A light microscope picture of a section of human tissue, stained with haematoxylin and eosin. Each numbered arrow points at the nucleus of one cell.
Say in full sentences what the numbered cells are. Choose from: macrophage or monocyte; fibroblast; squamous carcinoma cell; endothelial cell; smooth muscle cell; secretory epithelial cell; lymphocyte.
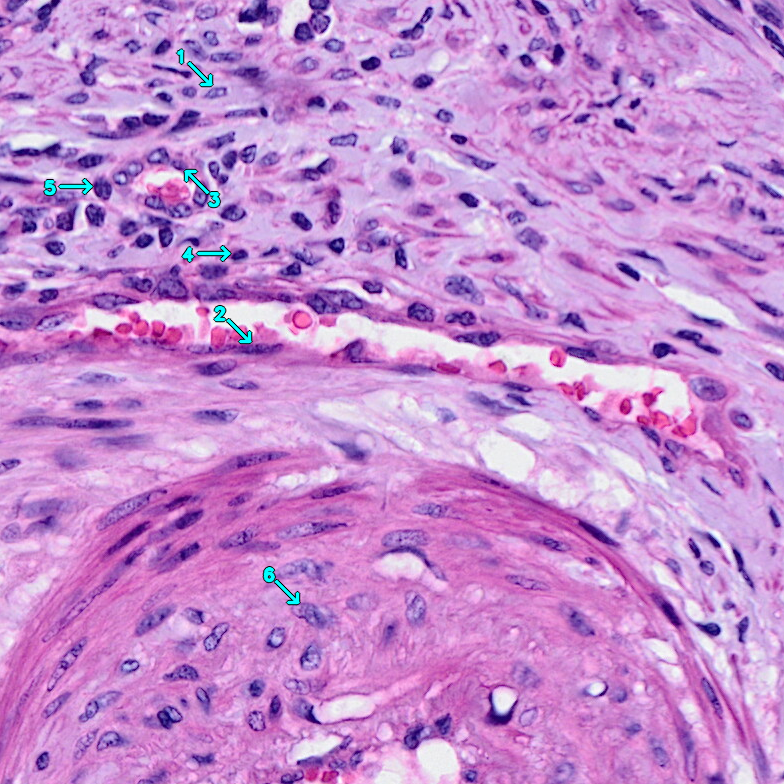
Cell 1 is a fibroblast. Cells 2 and 3 are endothelial cells. Cells 4 and 5 are lymphocytes. Cell 6 is a smooth muscle cell.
